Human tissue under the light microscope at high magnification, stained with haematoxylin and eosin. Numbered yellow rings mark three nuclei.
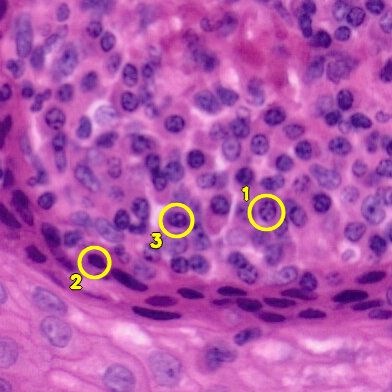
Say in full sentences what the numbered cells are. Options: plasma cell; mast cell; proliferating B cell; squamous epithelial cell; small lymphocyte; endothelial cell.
Cells 1 and 3 are plasma cells. Cell 2 is a squamous epithelial cell.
